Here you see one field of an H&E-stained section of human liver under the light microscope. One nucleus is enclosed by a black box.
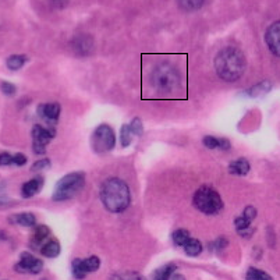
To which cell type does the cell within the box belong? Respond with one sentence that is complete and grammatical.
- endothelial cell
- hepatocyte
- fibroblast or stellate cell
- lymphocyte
Among the cells in this section, the cell within the box is a hepatocyte.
